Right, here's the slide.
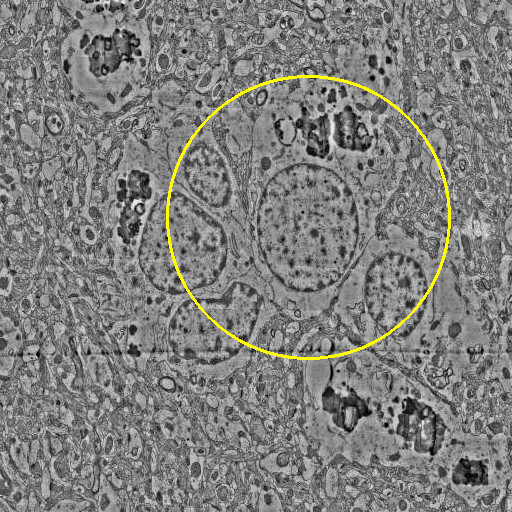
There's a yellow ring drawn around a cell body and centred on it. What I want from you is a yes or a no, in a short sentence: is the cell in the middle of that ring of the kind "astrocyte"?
Yes, it's of that kind.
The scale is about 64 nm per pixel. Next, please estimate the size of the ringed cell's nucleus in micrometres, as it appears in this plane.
The nucleus comes to roughly 8 by 6 micrometres in this plane.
